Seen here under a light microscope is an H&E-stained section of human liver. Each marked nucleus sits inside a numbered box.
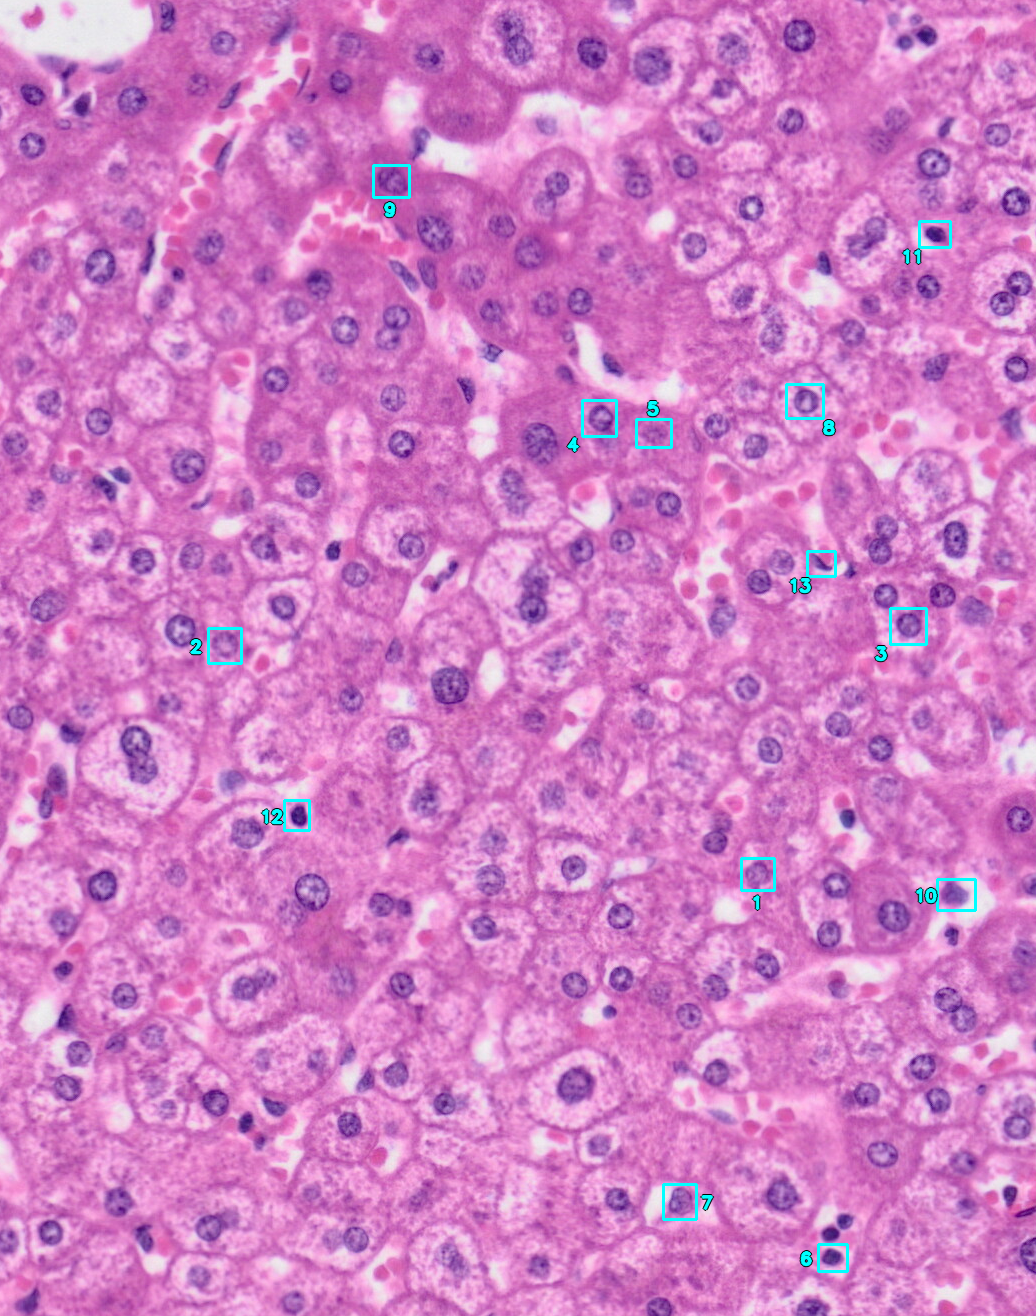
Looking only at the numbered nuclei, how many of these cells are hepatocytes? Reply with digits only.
7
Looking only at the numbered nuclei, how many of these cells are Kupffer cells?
1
